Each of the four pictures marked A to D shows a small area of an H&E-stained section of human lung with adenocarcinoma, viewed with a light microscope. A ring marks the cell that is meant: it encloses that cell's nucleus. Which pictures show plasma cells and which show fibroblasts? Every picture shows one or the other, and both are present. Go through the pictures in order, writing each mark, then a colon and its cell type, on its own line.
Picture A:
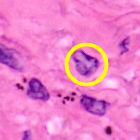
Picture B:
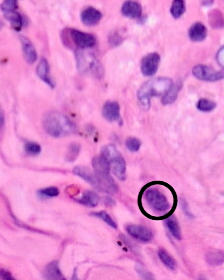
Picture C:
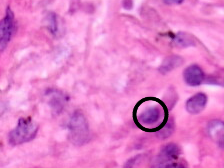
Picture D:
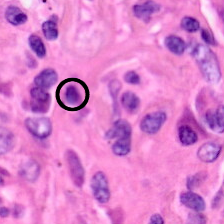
A: fibroblast
B: plasma cell
C: plasma cell
D: plasma cell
